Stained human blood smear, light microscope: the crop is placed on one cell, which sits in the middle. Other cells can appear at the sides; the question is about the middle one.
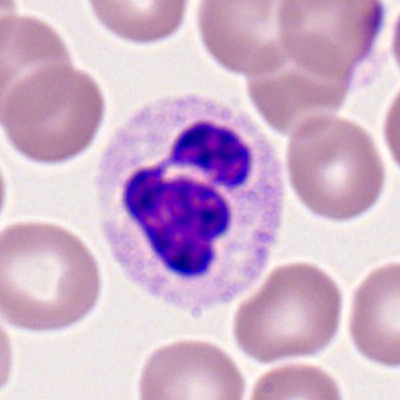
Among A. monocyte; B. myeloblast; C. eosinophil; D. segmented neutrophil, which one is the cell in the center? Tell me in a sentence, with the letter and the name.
At the centre of the crop lies a segmented neutrophil, which makes option D correct.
